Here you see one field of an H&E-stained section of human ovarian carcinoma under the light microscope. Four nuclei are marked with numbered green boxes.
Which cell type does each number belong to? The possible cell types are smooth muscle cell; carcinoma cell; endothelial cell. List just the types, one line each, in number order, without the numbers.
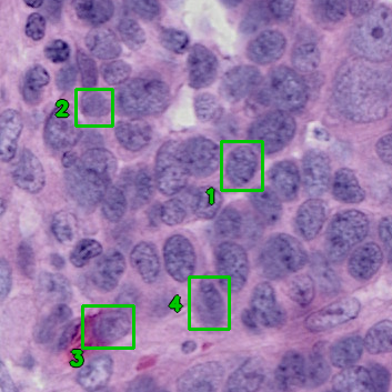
carcinoma cell
carcinoma cell
endothelial cell
carcinoma cell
